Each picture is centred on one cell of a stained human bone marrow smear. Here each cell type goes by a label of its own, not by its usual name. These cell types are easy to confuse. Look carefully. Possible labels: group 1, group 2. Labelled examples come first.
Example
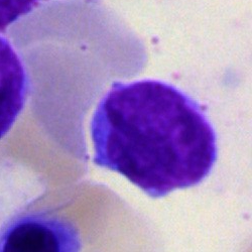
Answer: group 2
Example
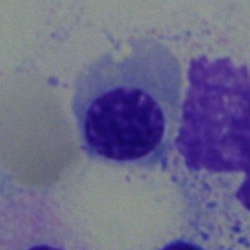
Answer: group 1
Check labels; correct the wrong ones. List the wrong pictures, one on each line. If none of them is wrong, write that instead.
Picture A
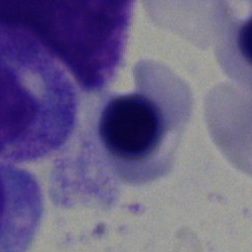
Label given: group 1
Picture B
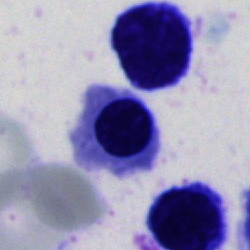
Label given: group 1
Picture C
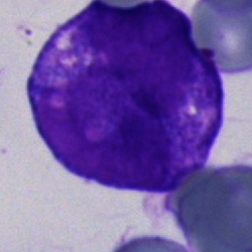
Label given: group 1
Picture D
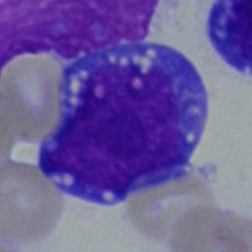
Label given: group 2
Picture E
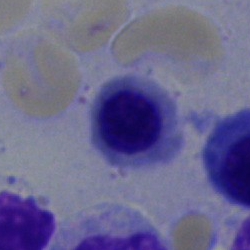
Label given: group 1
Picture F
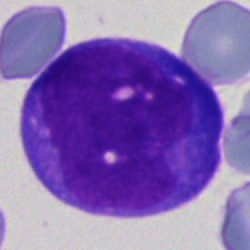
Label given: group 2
Wrong: C (group 1); correct: group 2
